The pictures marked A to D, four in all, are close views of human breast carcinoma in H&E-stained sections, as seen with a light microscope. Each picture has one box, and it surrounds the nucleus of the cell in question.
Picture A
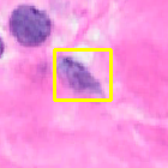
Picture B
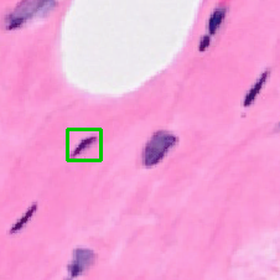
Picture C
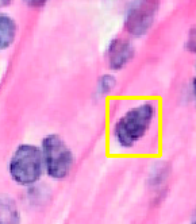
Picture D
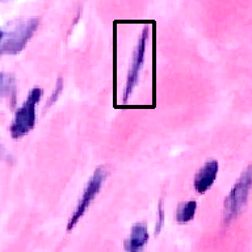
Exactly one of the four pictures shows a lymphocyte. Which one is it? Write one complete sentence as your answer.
The picture with the lymphocyte is C.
